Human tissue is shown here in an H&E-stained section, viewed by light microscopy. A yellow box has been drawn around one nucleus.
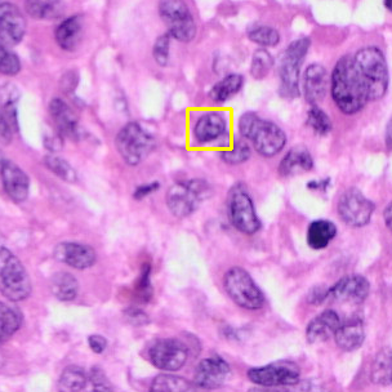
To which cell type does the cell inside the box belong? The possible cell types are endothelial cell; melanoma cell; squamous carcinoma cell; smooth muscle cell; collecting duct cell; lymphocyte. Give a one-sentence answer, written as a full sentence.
In the tissue under study, the cell inside the box is a melanoma cell.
